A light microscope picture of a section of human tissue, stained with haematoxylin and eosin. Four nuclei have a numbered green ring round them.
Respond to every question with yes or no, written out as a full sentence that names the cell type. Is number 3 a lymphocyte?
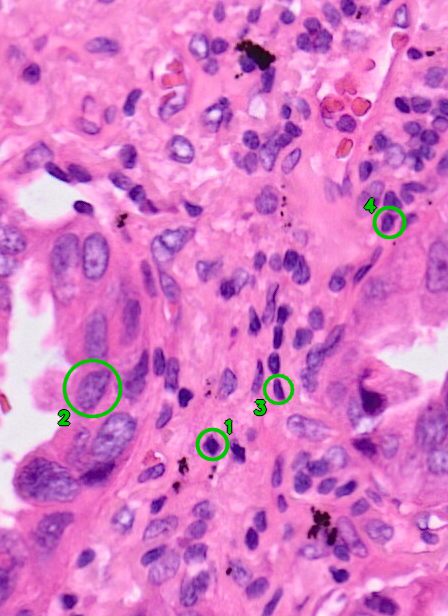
Yes, number 3 corresponds to a lymphocyte.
